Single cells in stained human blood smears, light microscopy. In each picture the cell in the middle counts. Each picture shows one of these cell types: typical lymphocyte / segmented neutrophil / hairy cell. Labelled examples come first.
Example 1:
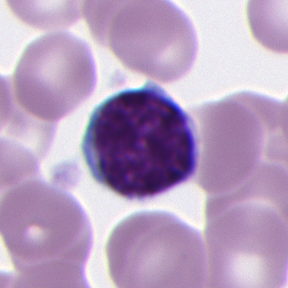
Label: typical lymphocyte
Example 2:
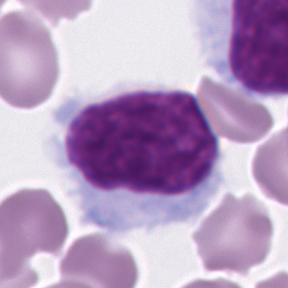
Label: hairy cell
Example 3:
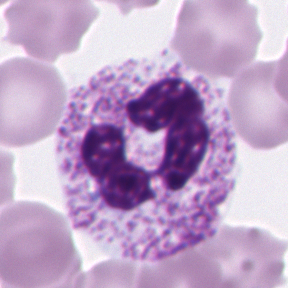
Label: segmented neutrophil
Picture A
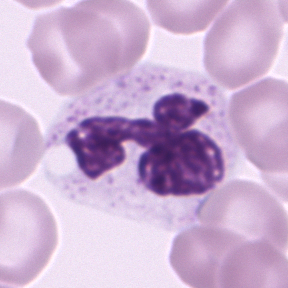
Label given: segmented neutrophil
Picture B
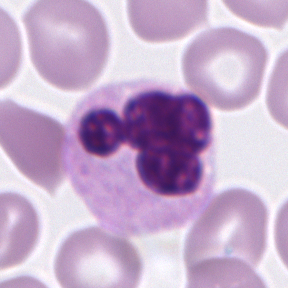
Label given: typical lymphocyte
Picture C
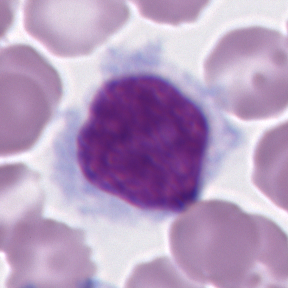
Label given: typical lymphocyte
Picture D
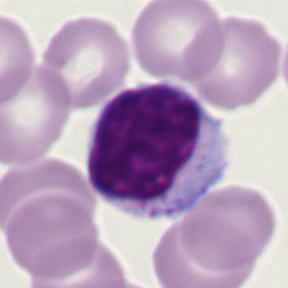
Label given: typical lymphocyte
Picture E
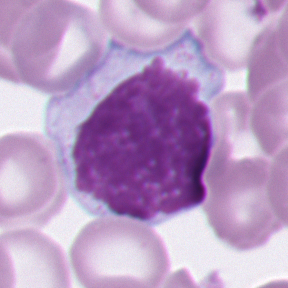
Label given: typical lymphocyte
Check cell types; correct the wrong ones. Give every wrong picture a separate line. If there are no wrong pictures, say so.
Wrong: B (typical lymphocyte); correct: segmented neutrophil
Wrong: C (typical lymphocyte); correct: hairy cell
